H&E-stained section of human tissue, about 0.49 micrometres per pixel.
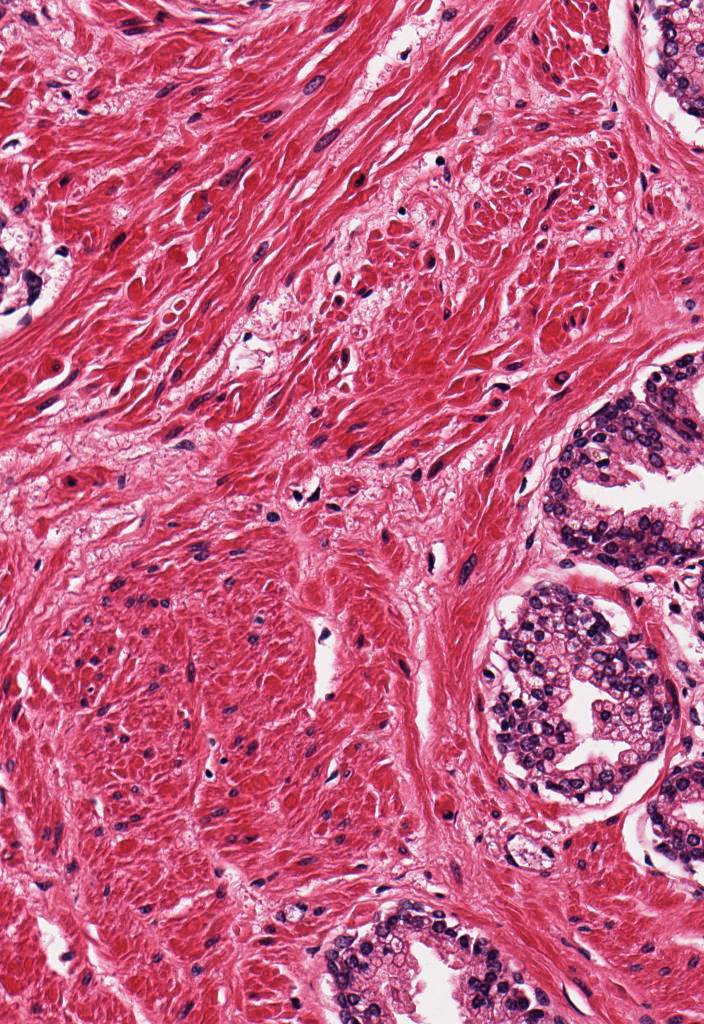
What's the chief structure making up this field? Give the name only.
fibromuscular stroma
